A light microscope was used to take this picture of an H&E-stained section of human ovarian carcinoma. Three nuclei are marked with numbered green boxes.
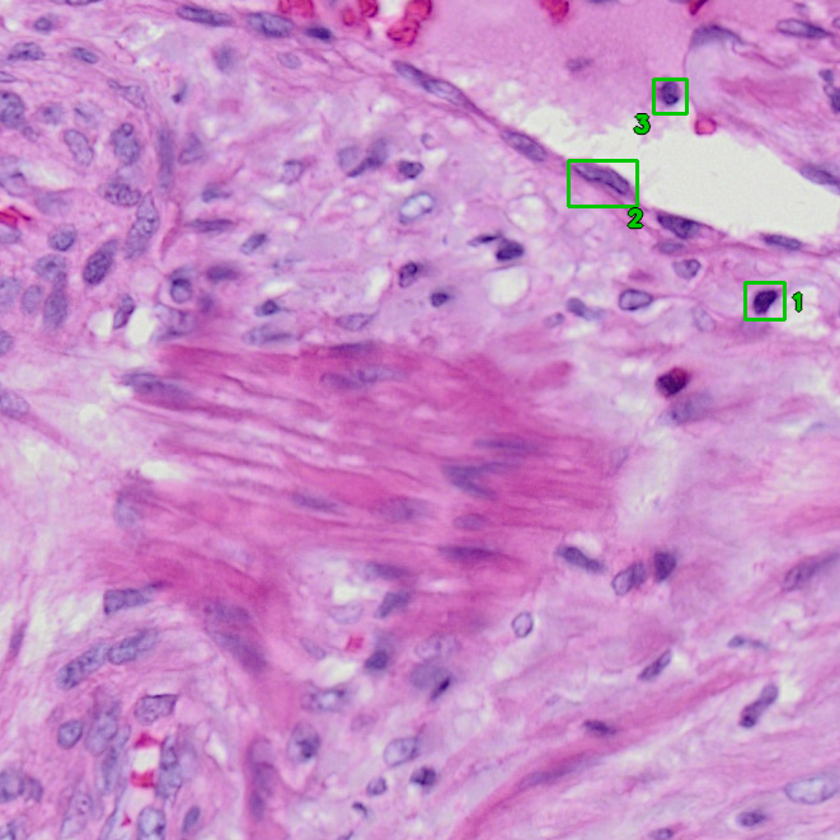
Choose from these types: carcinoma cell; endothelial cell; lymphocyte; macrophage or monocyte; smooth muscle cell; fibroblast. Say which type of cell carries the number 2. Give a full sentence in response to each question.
Number 2 is placed on an endothelial cell here.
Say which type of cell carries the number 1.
Numbered cell 1 is a lymphocyte in this tissue section.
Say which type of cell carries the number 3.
Cell 3 in the field is a lymphocyte.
